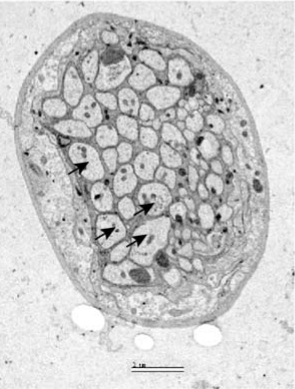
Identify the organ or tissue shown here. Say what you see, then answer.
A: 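An oval bundle is enclosed by a thin continuous outer sheath. The bundle is packed with many round profiles cut transversely. Thin sheets of darker material run between the round profiles.
Hence: peripheral nerve cross sections.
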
